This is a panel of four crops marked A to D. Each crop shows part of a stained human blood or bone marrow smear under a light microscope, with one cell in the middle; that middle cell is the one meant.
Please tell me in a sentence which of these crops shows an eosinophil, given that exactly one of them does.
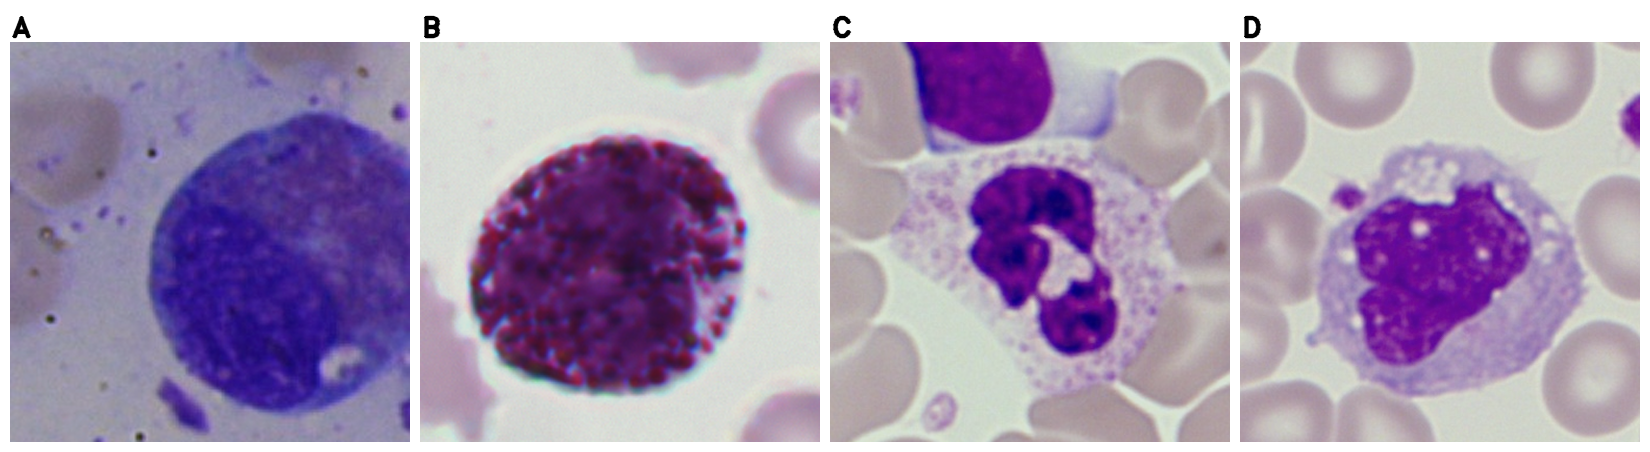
Crop A matches the request, showing an eosinophil.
